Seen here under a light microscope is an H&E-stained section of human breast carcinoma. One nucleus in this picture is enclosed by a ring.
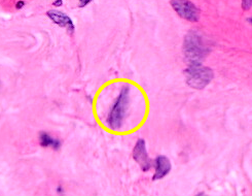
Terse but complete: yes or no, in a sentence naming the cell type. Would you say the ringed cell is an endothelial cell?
No, rather than an endothelial cell, the ringed cell is a fibroblast.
